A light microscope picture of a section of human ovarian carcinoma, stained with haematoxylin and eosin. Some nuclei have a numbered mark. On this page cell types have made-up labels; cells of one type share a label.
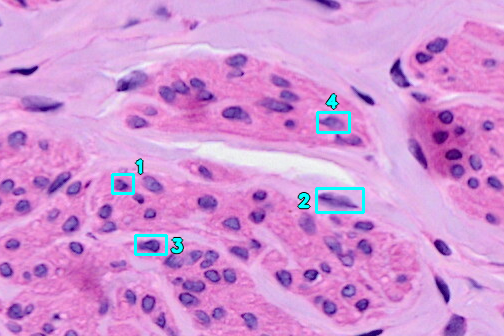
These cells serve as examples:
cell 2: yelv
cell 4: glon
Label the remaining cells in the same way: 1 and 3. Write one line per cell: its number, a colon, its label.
1: glon
3: glon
